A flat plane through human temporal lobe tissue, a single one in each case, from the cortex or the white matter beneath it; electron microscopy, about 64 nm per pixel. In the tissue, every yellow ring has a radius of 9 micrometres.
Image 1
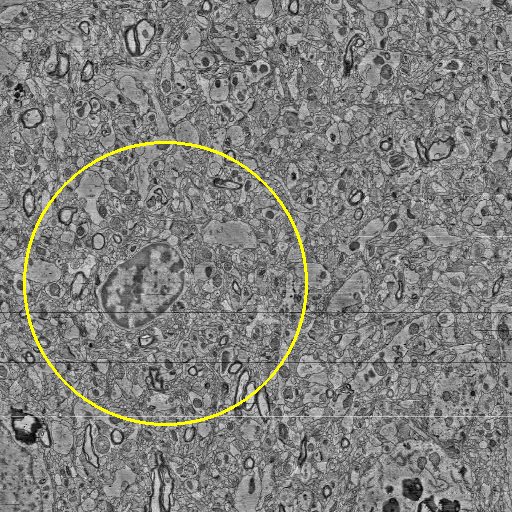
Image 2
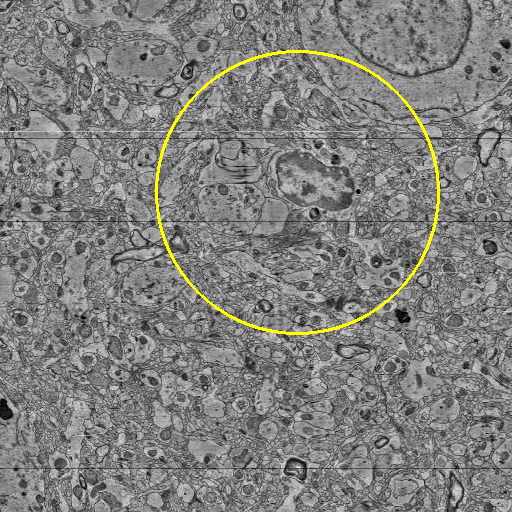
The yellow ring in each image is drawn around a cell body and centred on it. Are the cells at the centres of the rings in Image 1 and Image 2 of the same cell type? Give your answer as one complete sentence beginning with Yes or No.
Yes, both cells are of the same type.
